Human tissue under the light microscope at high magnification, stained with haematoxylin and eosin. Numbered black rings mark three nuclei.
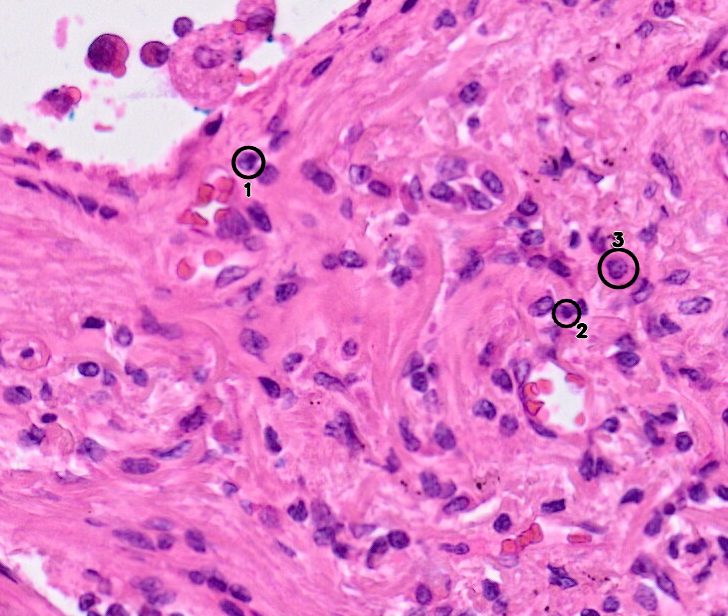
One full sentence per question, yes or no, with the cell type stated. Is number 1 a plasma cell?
No, it is a lymphocyte, rather than a plasma cell, that carries number 1.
